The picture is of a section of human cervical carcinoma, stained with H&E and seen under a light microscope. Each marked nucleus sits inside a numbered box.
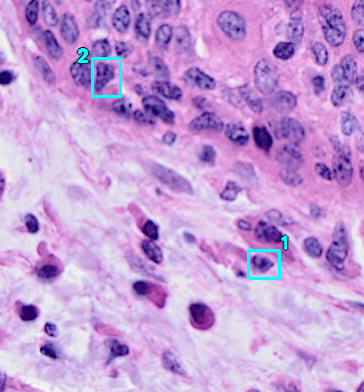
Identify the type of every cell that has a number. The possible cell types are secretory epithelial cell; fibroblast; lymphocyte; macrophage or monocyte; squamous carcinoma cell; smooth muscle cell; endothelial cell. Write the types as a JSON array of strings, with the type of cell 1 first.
["lymphocyte", "squamous carcinoma cell"]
